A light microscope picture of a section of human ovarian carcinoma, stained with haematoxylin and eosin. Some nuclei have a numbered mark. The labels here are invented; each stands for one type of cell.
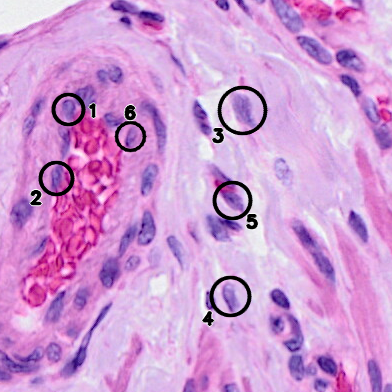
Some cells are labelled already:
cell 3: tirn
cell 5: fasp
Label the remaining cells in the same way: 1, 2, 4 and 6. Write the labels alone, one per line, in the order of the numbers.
fasp
fasp
tirn
fasp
